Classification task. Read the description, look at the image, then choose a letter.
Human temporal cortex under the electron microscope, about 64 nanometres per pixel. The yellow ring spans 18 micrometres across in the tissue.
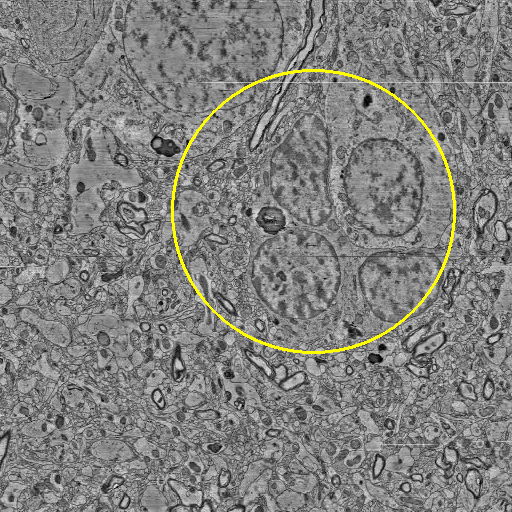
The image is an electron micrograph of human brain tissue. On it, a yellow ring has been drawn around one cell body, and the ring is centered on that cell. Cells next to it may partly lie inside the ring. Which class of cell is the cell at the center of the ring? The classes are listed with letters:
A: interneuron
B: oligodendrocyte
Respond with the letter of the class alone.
B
